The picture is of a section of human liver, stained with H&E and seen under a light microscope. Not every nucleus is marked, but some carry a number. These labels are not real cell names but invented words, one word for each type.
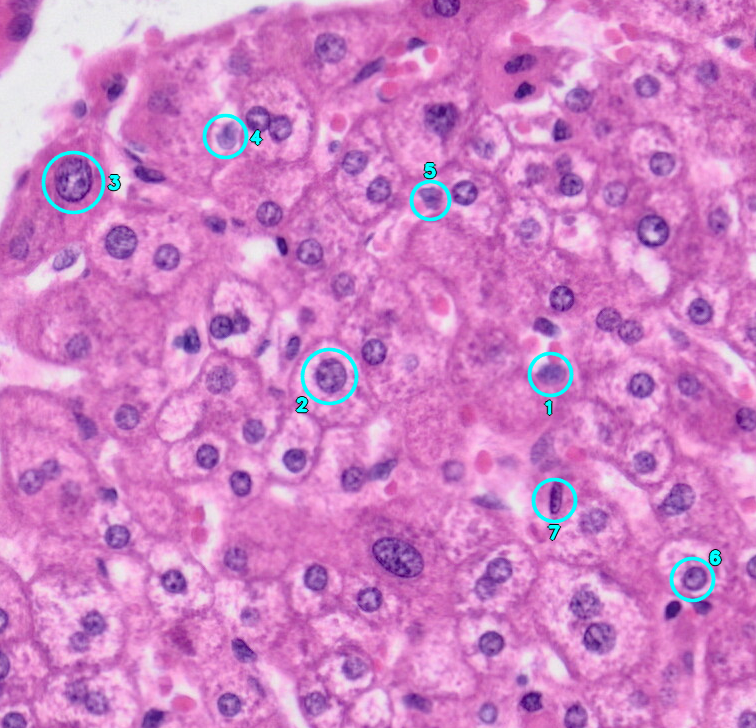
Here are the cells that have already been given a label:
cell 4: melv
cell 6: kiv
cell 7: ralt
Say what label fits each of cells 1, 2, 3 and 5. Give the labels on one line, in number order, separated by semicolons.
melv; kiv; kiv; melv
